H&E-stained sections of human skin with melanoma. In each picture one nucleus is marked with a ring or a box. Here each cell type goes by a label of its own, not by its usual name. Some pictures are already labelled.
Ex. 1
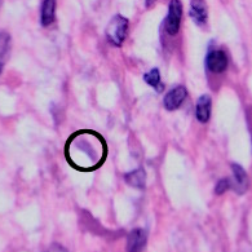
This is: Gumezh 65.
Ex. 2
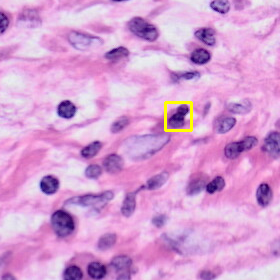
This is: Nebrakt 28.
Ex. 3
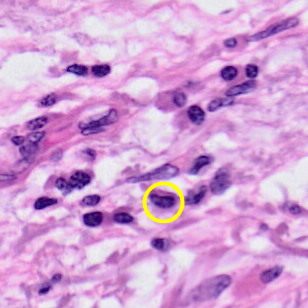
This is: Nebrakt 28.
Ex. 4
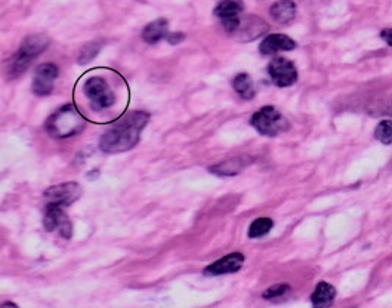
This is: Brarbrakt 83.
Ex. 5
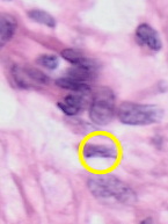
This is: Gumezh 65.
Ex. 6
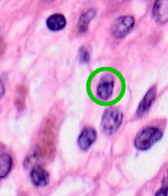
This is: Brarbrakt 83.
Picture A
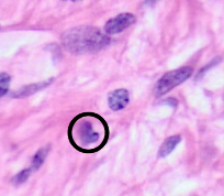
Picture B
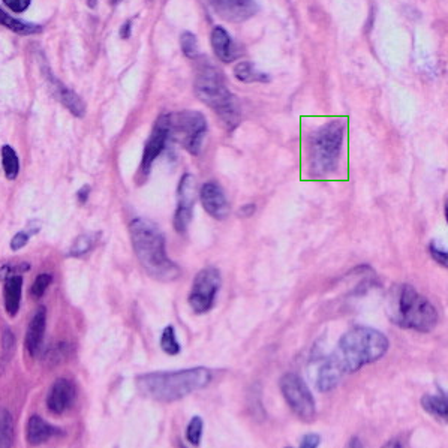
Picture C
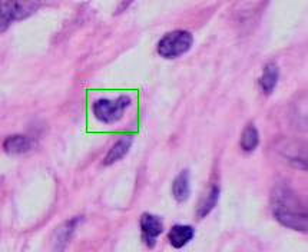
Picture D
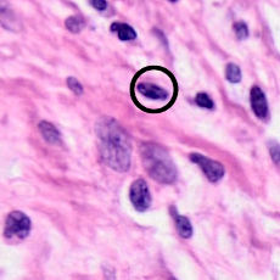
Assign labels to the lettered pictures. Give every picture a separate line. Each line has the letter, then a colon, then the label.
A: Brarbrakt 83.
B: Gumezh 65.
C: Brarbrakt 83.
D: Brarbrakt 83.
